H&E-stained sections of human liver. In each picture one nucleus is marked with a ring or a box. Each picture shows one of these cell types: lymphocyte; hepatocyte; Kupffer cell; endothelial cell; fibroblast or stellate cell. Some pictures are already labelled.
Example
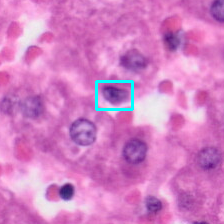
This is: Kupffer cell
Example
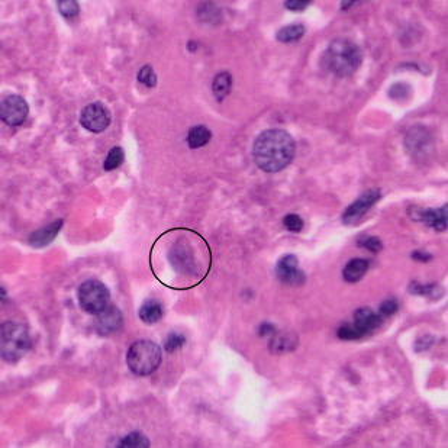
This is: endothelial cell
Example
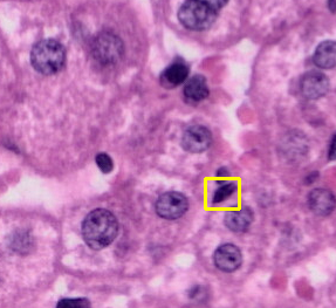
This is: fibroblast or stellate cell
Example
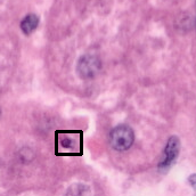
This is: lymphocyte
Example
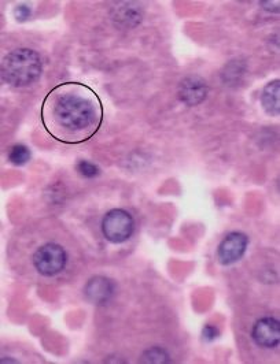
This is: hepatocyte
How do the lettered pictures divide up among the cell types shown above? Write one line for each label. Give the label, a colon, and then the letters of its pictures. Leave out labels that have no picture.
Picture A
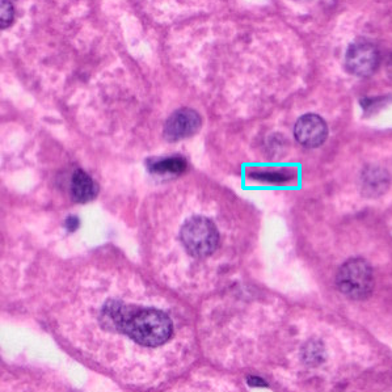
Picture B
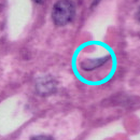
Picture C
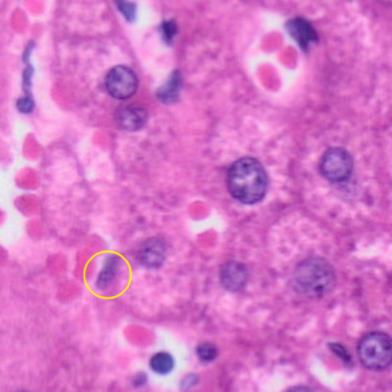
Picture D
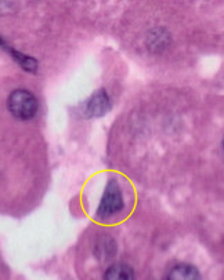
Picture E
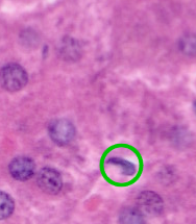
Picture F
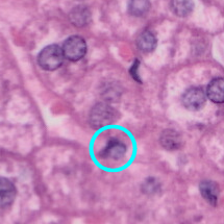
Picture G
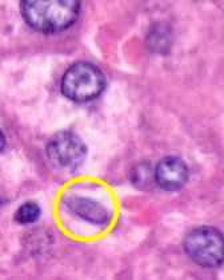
Kupffer cell: G
endothelial cell: B, C, E, F
fibroblast or stellate cell: A, D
